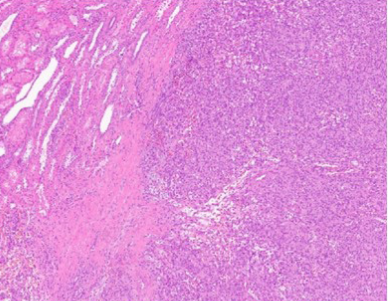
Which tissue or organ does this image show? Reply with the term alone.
renal parenchyma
